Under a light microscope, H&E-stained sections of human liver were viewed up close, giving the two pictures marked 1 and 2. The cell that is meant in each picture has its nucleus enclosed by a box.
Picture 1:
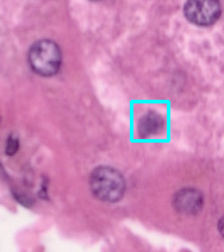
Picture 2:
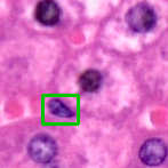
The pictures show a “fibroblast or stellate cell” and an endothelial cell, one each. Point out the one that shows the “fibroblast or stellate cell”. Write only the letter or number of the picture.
2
